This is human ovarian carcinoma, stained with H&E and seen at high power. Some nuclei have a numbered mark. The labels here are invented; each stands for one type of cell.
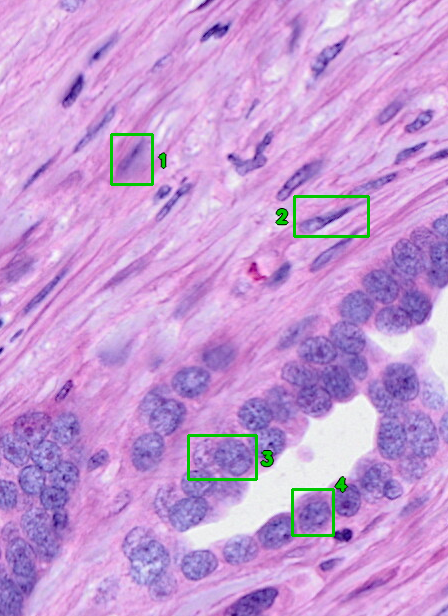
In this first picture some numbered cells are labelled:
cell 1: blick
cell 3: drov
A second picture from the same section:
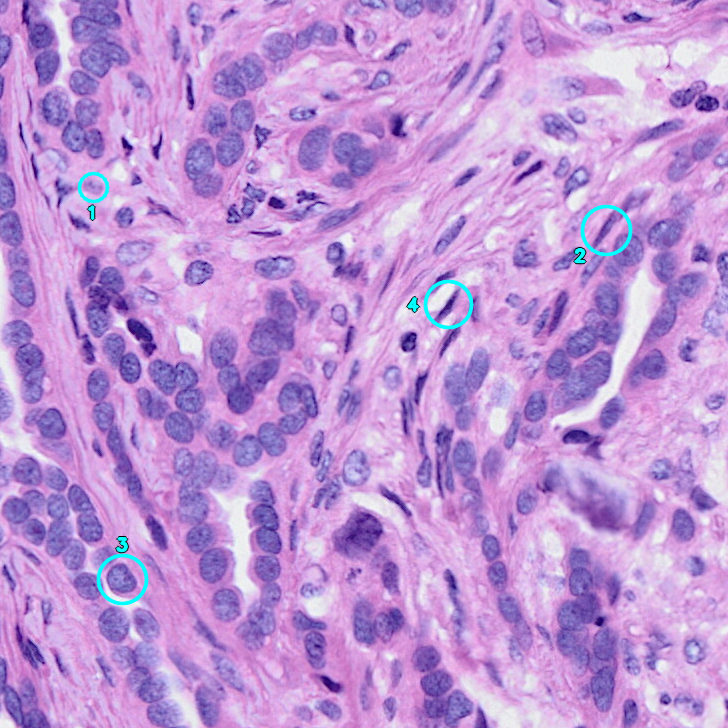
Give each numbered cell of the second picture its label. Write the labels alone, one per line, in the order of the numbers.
blick
blick
drov
blick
